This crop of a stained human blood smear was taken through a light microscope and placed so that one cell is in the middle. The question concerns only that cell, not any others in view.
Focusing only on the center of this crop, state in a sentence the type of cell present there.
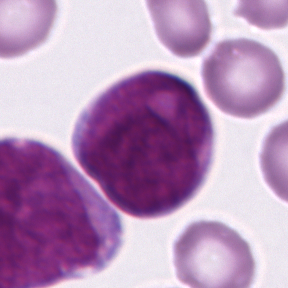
Of the cells in this crop, the central one is a myeloblast.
